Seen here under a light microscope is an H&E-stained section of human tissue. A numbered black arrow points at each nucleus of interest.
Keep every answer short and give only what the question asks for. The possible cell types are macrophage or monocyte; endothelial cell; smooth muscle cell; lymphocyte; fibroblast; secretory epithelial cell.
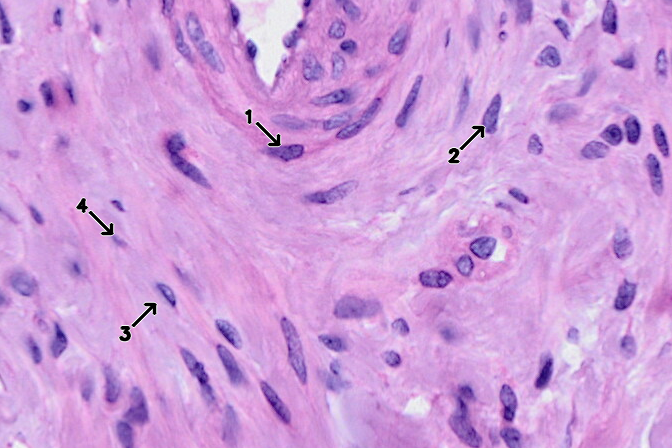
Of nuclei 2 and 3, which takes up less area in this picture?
3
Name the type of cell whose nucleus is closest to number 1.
smooth muscle cell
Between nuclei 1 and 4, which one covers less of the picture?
4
